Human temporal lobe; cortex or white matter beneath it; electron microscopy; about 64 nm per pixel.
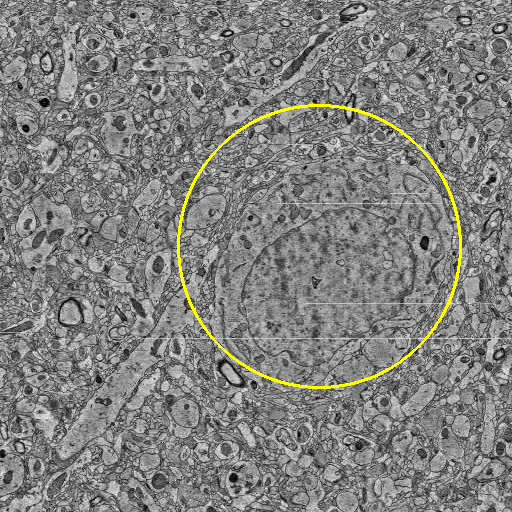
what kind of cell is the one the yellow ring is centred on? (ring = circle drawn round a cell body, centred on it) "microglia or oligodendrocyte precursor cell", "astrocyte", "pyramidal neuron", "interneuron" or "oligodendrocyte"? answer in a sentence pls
The ring is drawn around an interneuron.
